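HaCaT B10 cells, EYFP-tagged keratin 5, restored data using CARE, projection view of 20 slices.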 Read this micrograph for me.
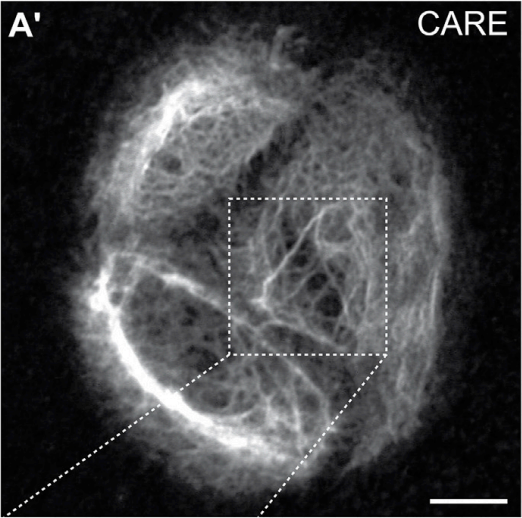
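A single rounded cell is seen with a dense network of fine bright filaments filling its cytoplasm. The filaments branch and join into a meshwork of polygonal openings, with thicker bright bundles curving along the lower left rim of the cell and a darker rounded region near the centre where the mesh is sparser.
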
